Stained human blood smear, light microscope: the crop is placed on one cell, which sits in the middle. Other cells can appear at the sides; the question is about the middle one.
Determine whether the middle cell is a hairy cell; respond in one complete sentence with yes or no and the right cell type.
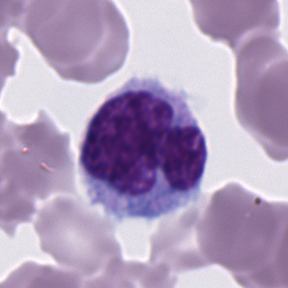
Yes, the cell placed centrally within the crop is a hairy cell.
